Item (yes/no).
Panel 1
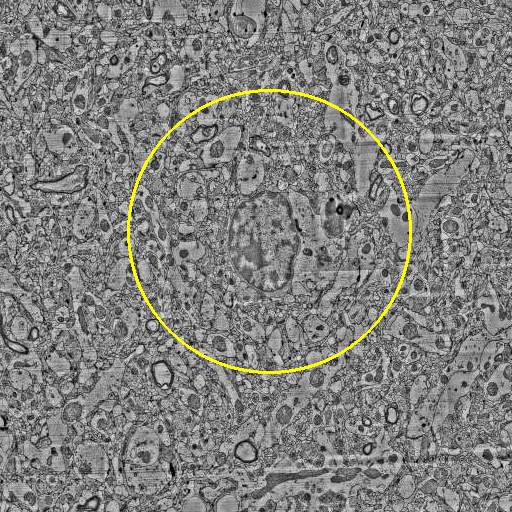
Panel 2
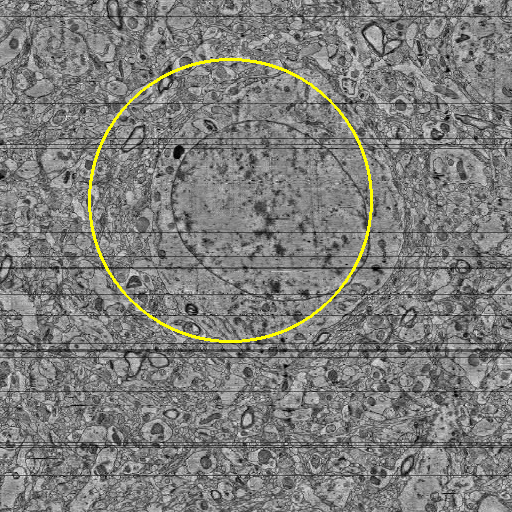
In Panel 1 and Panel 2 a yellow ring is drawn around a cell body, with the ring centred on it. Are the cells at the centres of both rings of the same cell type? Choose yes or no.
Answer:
no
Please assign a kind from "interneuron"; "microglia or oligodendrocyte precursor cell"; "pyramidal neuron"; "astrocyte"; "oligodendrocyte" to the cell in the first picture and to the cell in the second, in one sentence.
In the first picture we have an oligodendrocyte, and in the second, a pyramidal neuron.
